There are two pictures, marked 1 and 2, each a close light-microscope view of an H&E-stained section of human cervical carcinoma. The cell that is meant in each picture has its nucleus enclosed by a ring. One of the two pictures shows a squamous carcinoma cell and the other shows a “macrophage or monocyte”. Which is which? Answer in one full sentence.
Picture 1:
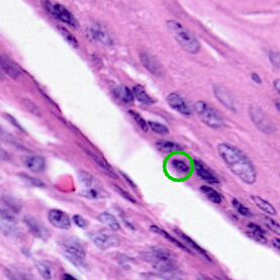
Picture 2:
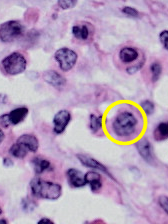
It is picture 1 that shows a squamous carcinoma cell, and picture 2 that shows a “macrophage or monocyte”.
